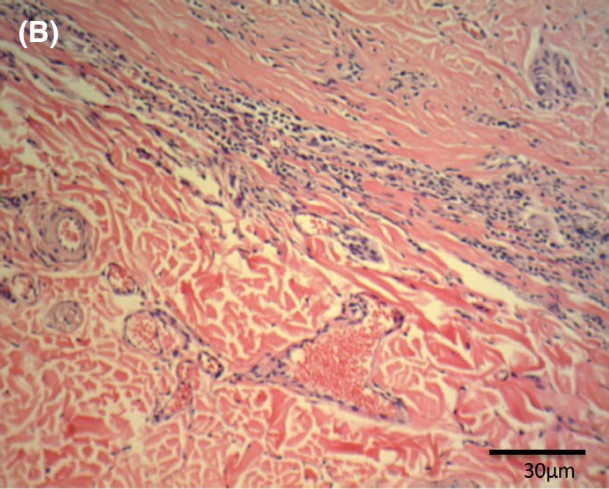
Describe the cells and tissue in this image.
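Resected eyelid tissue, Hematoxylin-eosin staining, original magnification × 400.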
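The field is dominated by bright pink, wavy collagen bundles of dense connective tissue. A diagonal band of small, dark purple round nuclei runs across the upper part, packed among the fibres, and several small vessels are cut across, one filled with red blood cells. No glandular lobules with pale, foamy cells and no ducts are to be seen anywhere in the field.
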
